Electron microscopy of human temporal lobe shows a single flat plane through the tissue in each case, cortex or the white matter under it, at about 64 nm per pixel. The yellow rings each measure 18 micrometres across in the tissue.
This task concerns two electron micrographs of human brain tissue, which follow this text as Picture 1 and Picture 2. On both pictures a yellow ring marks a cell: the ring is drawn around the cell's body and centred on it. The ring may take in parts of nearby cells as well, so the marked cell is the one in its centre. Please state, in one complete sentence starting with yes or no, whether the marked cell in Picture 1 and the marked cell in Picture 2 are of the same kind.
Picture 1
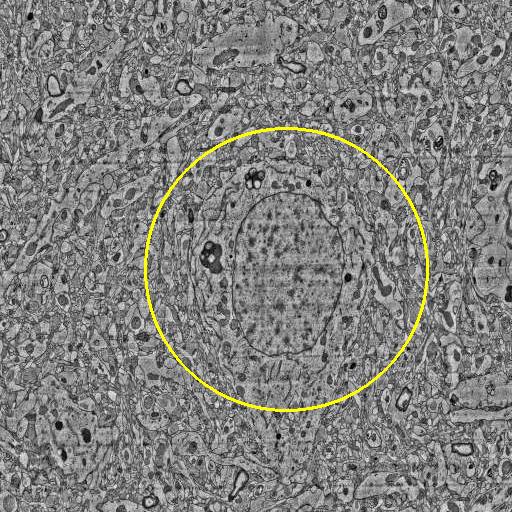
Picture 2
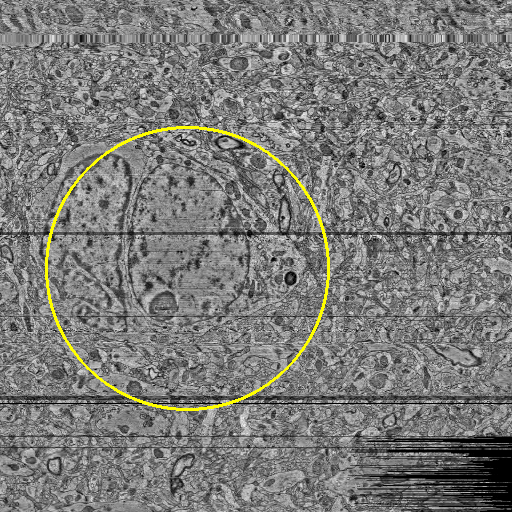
Yes, the marked cells in both pictures are of the same kind.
